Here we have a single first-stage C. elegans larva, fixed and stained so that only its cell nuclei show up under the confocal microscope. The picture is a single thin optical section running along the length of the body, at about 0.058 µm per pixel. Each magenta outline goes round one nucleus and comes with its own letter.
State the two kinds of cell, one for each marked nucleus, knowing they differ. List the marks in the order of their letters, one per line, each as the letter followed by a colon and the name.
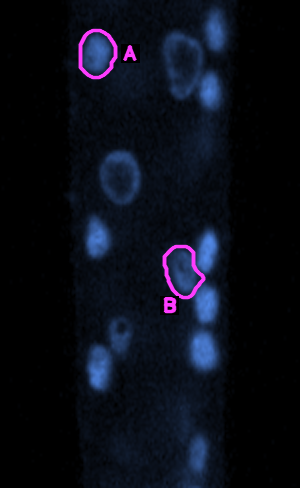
A: body wall muscle cell
B: intestinal cell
